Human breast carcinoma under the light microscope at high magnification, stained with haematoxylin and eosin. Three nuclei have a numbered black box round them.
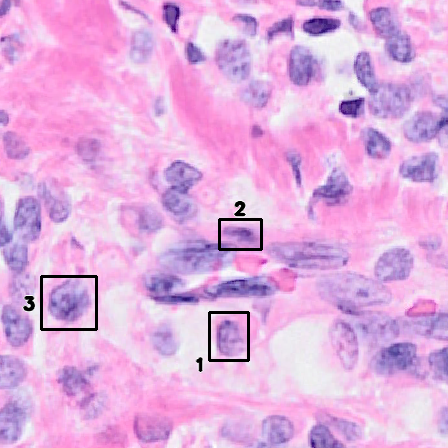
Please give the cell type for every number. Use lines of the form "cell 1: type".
cell 1: carcinoma cell
cell 2: endothelial cell
cell 3: carcinoma cell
